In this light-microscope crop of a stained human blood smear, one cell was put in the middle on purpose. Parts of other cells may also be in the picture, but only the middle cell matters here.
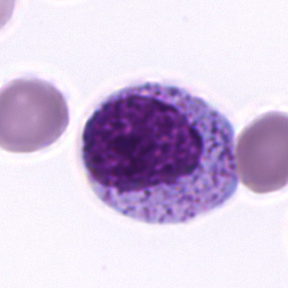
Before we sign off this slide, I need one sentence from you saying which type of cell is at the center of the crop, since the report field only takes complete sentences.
The cell occupying the middle of the crop is a myelocyte.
